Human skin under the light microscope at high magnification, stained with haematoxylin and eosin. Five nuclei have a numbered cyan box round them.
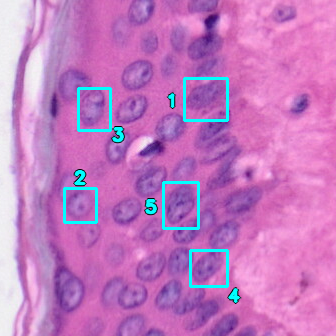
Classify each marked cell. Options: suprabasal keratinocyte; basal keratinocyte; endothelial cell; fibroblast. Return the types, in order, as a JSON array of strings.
["basal keratinocyte", "suprabasal keratinocyte", "suprabasal keratinocyte", "basal keratinocyte", "suprabasal keratinocyte"]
